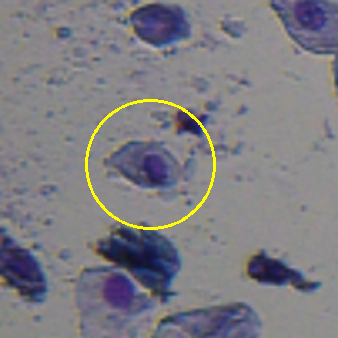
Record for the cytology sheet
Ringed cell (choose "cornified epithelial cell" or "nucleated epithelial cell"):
nucleated epithelial cell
